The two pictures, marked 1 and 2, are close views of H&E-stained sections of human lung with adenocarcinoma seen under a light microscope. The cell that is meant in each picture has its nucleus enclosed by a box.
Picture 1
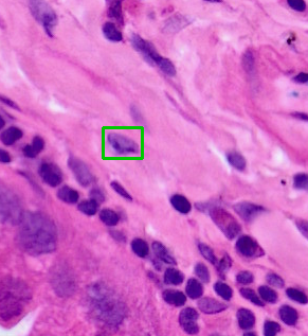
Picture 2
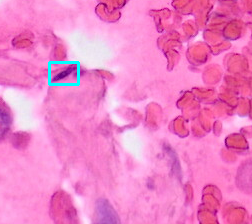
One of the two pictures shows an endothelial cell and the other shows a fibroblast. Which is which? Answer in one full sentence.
Picture 1 shows a fibroblast and picture 2 shows an endothelial cell.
